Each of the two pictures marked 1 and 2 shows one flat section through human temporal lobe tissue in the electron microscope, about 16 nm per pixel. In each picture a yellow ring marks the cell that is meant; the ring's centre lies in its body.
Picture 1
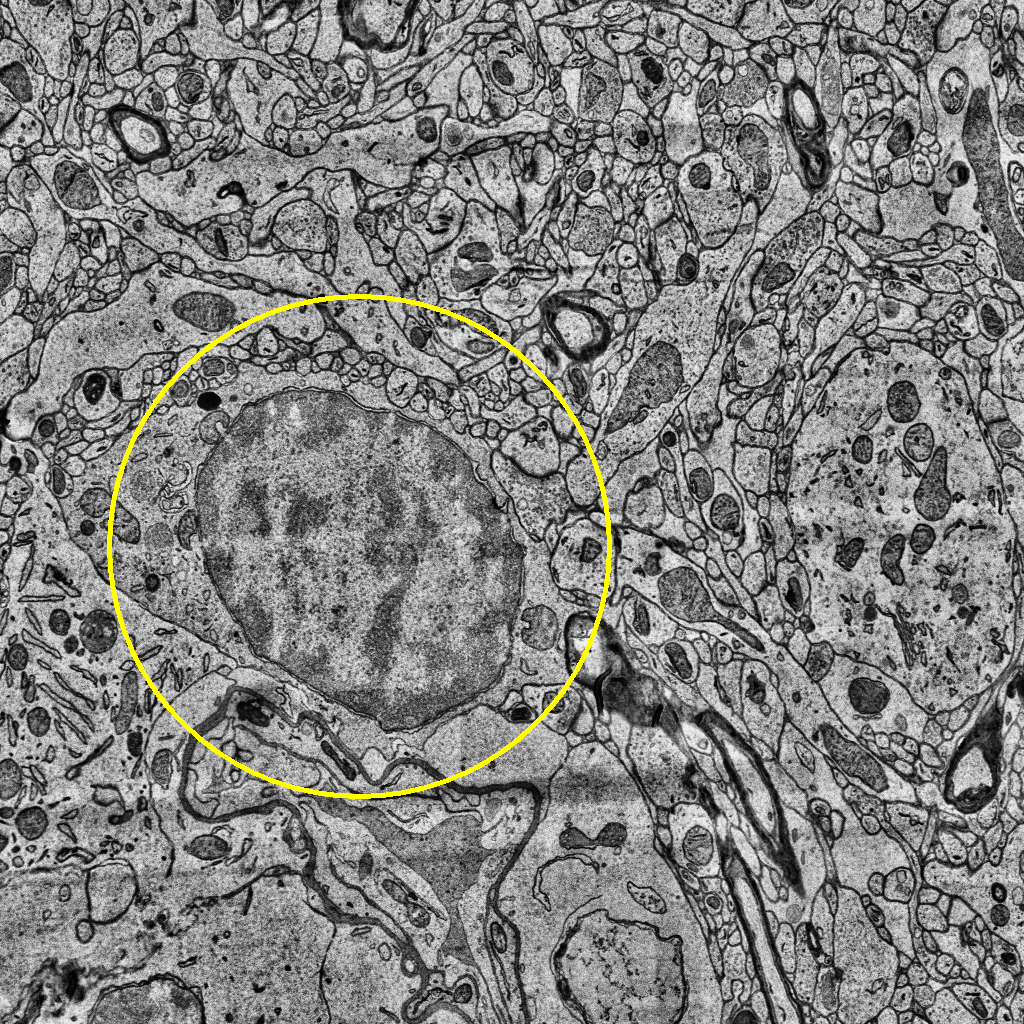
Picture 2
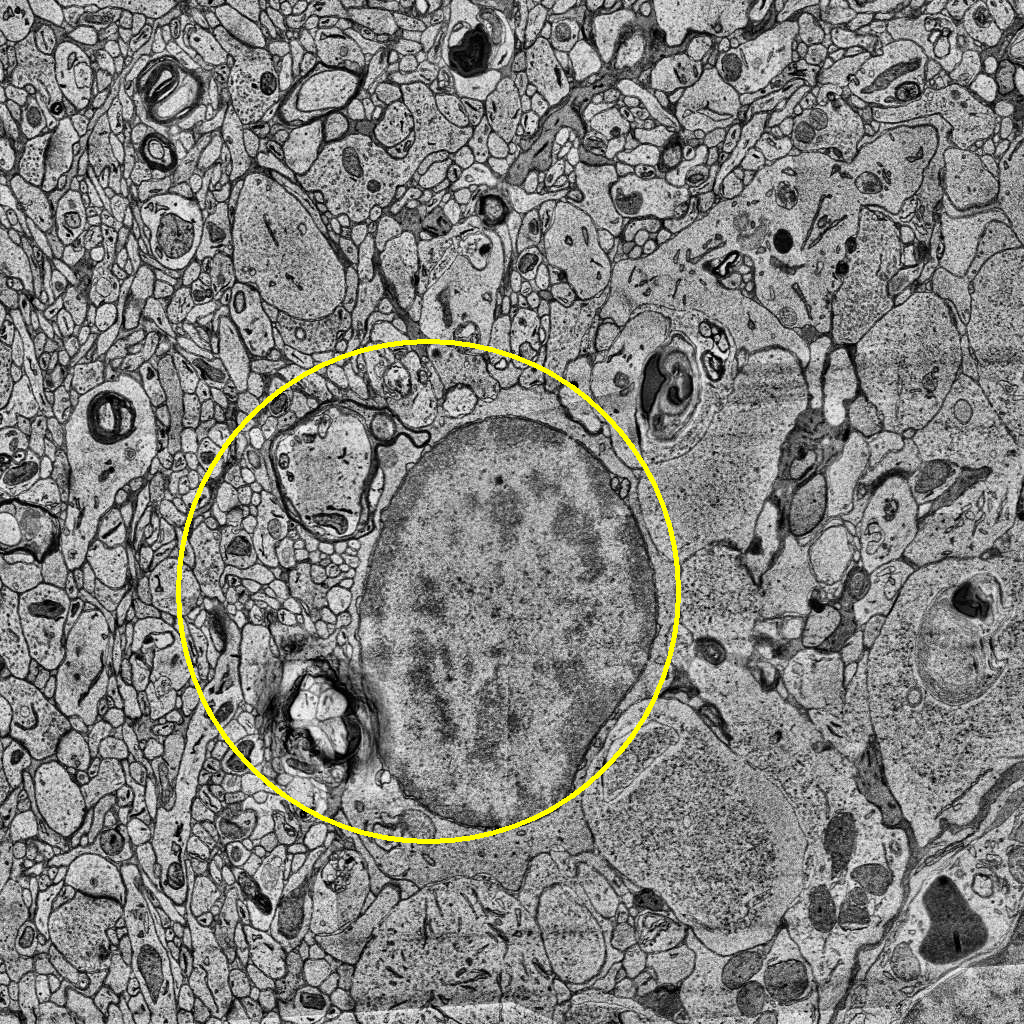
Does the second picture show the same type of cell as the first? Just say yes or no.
yes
